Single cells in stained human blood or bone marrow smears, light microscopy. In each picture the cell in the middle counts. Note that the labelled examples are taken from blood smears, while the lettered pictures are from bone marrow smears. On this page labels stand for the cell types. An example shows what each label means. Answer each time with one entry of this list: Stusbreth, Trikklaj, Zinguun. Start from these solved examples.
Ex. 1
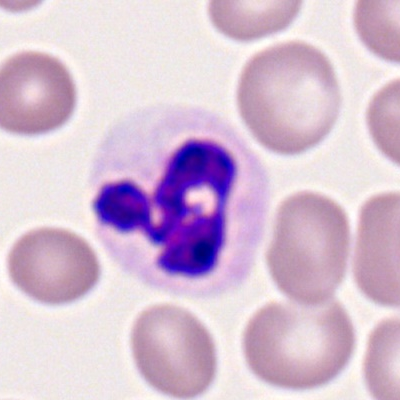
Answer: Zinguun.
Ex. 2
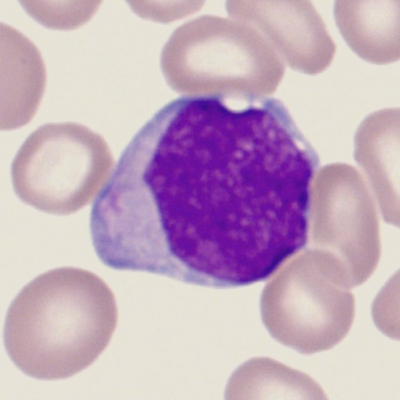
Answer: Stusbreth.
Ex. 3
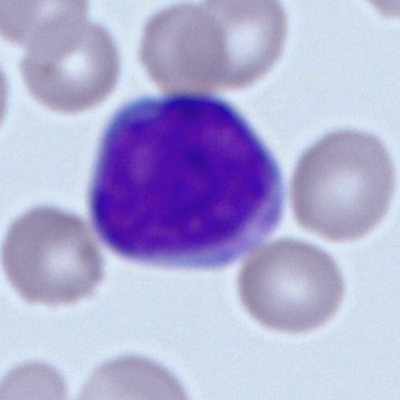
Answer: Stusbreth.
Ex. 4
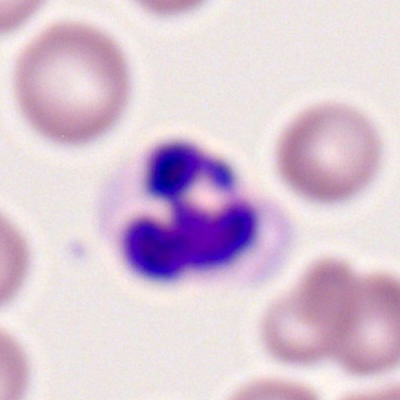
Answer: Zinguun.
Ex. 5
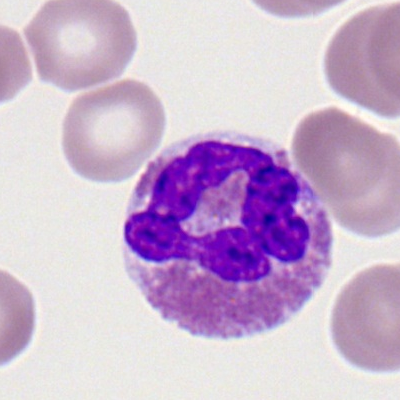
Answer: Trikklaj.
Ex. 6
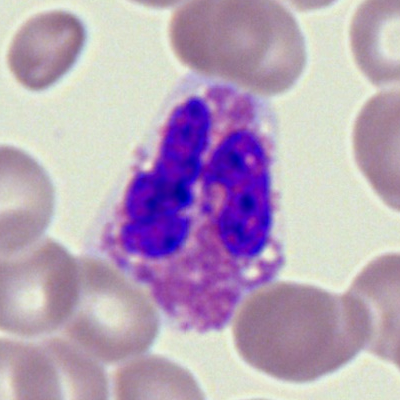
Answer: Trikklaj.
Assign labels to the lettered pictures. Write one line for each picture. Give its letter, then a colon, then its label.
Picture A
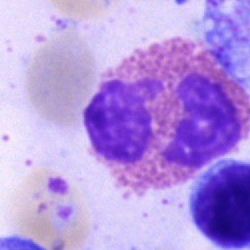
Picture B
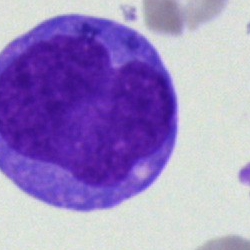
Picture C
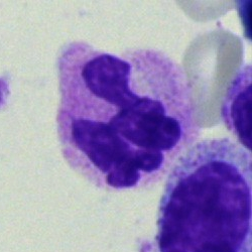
A: Trikklaj.
B: Stusbreth.
C: Zinguun.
